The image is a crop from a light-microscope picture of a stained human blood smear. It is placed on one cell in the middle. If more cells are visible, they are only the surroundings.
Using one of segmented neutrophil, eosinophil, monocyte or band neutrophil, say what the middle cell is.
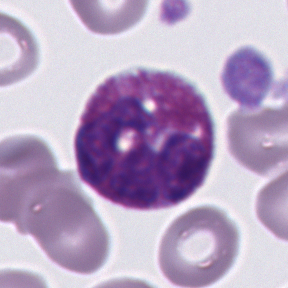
eosinophil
